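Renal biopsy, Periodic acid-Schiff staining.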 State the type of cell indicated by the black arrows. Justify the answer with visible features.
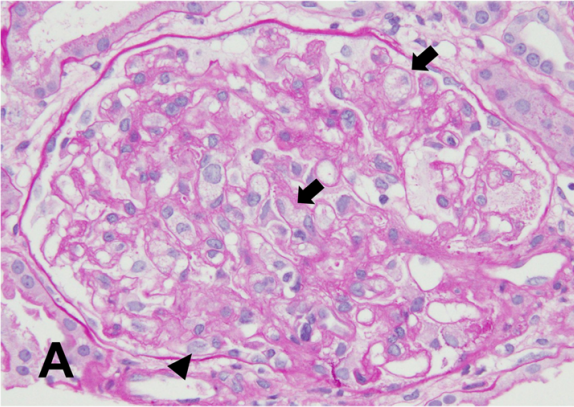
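The marked cells are large with pale, finely vacuolated cytoplasm. They lie within the glomerular capillary tuft. The answer: foamy macrophages.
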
